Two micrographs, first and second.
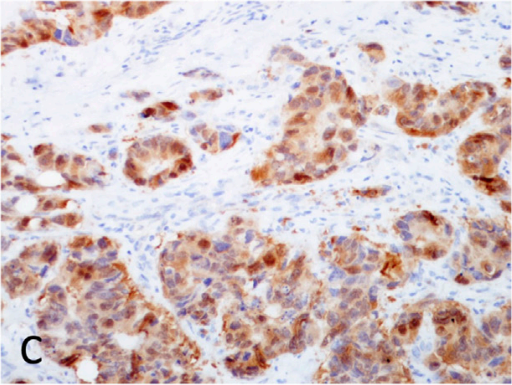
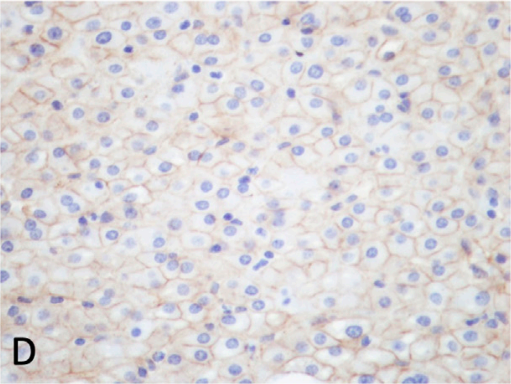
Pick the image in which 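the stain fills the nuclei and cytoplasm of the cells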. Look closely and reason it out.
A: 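Second image: brown stain only outlines the cell borders, nuclei blue. First image: brown stain fills cytoplasm and many nuclei.
Conclusion: the first image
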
